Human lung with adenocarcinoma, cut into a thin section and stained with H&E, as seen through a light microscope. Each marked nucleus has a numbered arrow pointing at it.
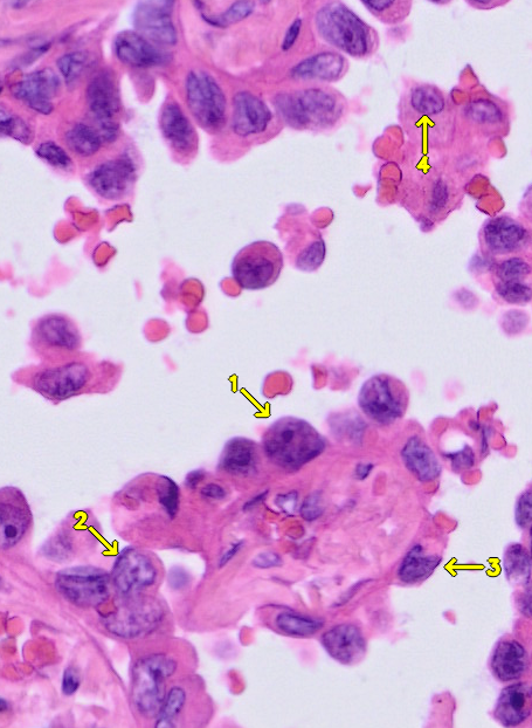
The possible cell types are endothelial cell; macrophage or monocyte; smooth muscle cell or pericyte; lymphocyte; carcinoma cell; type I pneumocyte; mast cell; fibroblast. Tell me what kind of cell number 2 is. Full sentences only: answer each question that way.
In the marked set, the cell given number 2 is a carcinoma cell.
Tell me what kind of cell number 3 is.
Number 3 is placed on a carcinoma cell here.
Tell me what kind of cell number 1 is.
The nucleus labelled 1 belongs to a carcinoma cell.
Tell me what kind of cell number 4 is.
The one labeled 4 is a macrophage or monocyte, to put it simply.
